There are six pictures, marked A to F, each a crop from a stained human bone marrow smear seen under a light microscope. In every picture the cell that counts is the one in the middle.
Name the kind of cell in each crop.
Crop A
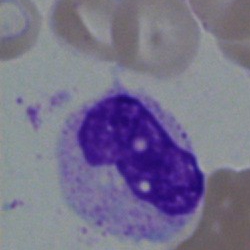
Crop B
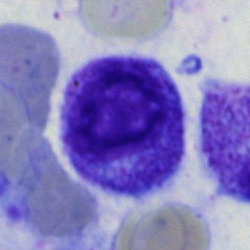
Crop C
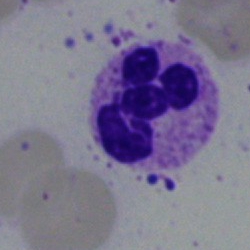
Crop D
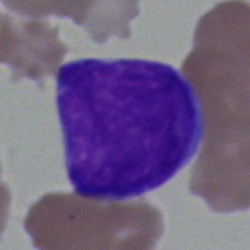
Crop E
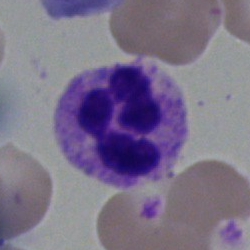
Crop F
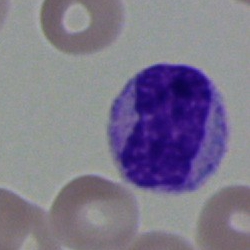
A: metamyelocyte
B: myelocyte
C: segmented neutrophil
D: blast
E: segmented neutrophil
F: metamyelocyte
